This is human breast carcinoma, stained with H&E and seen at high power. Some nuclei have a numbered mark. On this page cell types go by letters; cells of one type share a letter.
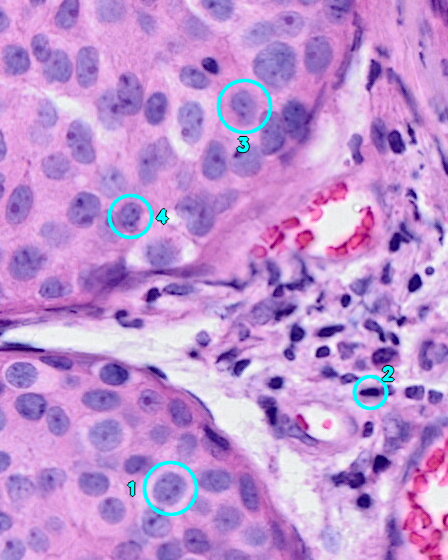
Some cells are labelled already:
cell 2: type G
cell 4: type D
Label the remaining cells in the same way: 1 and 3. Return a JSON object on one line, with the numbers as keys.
{"1": "type D", "3": "type D"}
